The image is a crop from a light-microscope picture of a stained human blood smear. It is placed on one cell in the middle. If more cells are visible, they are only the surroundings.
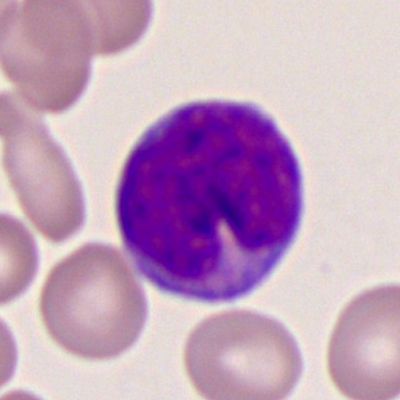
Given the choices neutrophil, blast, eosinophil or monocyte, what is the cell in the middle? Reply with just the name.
blast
